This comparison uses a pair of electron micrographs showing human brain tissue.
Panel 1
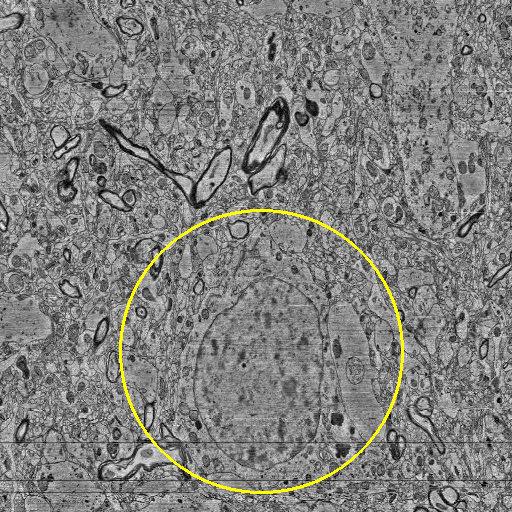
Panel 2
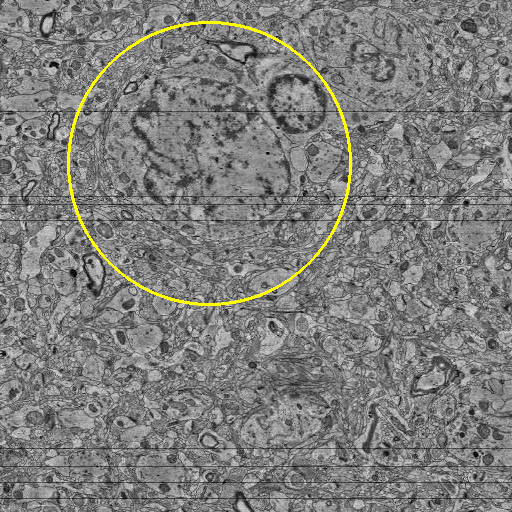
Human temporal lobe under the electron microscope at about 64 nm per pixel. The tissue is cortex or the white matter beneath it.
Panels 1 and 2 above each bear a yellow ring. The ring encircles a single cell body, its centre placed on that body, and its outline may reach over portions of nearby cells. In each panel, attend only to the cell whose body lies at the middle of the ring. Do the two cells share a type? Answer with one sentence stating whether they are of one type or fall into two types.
In Panel 1 and Panel 2, the cells at the centres of the rings are of one type.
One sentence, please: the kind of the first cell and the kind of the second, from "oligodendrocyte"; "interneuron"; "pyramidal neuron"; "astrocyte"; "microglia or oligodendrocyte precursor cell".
In each of the two pictures, the ringed cell is an interneuron.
